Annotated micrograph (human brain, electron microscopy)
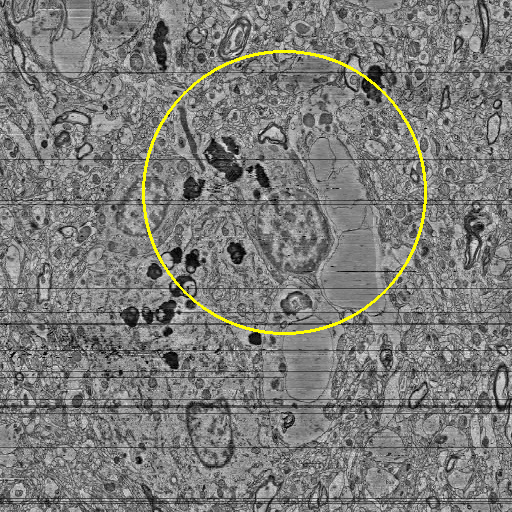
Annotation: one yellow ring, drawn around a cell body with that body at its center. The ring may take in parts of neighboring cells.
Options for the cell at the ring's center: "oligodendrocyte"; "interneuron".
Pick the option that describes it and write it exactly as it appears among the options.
oligodendrocyte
